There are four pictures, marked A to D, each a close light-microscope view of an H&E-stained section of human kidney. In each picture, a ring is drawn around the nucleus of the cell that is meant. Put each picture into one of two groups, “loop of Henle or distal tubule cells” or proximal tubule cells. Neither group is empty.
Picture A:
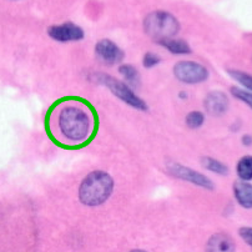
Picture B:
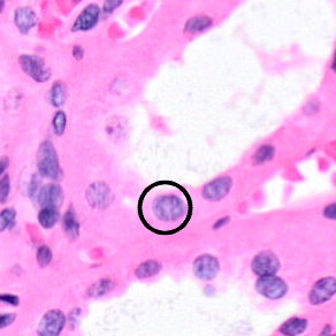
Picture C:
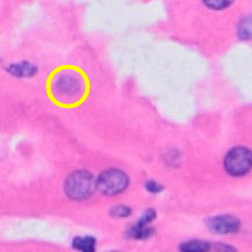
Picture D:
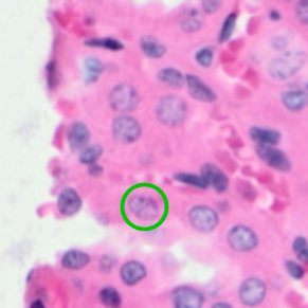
A: proximal tubule cell
B: loop of Henle or distal tubule cell
C: proximal tubule cell
D: loop of Henle or distal tubule cell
